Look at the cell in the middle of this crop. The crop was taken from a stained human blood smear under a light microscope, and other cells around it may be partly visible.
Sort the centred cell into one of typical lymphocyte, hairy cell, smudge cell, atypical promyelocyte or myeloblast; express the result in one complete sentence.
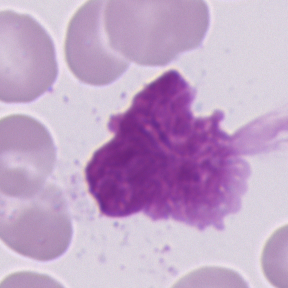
The identification for the central cell is a smudge cell.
